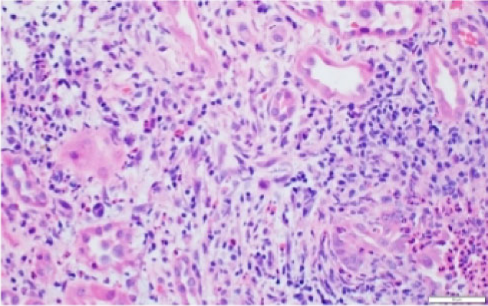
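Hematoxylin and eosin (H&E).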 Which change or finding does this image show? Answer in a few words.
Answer: Tubulointerstitial inflammation.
